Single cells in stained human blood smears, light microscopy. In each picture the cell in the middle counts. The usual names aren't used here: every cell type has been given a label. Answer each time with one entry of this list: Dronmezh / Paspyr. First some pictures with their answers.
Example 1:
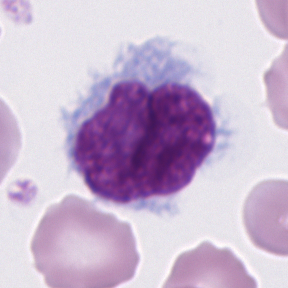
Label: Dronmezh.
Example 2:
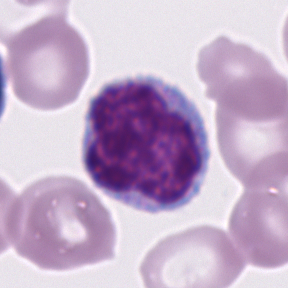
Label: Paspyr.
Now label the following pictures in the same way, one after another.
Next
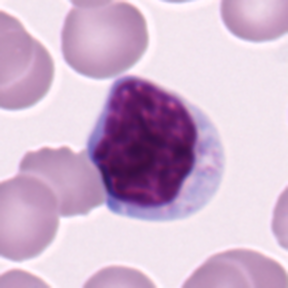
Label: Paspyr.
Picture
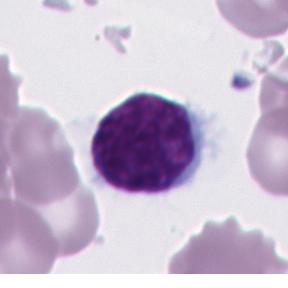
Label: Dronmezh.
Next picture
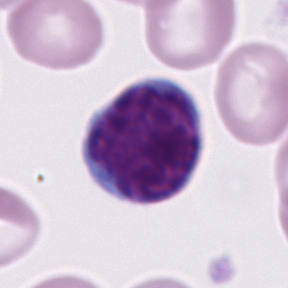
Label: Paspyr.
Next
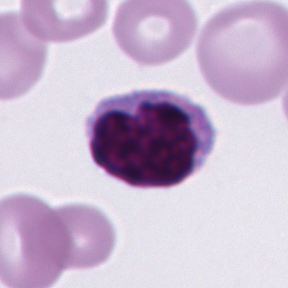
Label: Paspyr.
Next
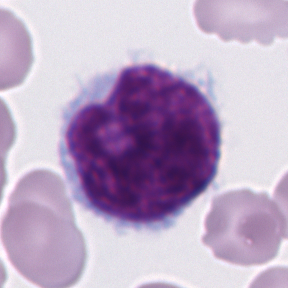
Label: Dronmezh.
